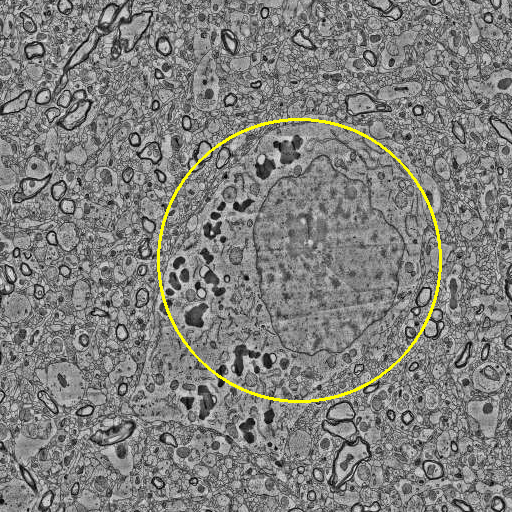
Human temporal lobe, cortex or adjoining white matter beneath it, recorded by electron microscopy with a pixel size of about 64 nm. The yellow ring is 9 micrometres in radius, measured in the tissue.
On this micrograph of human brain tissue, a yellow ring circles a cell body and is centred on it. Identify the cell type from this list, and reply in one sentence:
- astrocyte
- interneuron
The cell at the centre is an interneuron.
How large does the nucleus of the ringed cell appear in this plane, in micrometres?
The nucleus measures about 12 by 10 micrometres in this plane.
